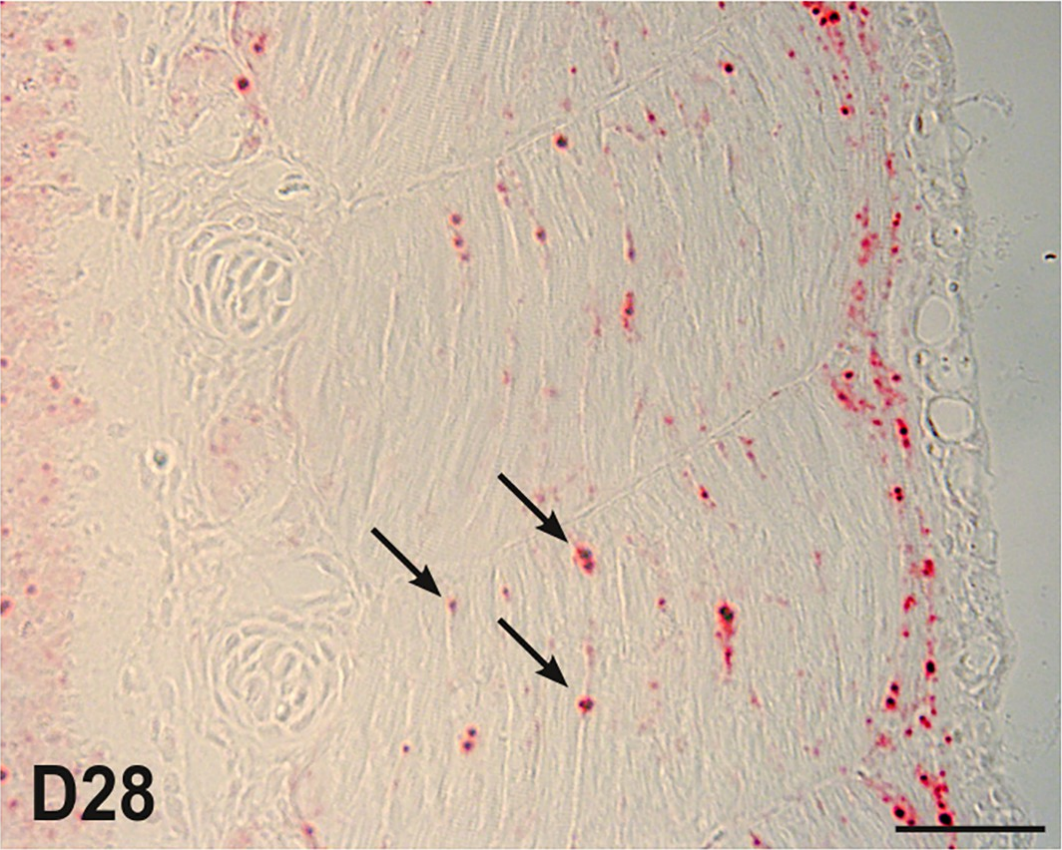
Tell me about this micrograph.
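Thin oblique partitions cross the fibers and separate the muscle into blocks. Scattered among the fibers are small single cells carrying a red deposit, several with a dark central dot. A denser band of red-stained cells lies along the outer surface of the muscle on the right, beneath a layer of pale, rounded, vacuolated cells. On the left, rounded bundles and paler tissue border the muscle.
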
